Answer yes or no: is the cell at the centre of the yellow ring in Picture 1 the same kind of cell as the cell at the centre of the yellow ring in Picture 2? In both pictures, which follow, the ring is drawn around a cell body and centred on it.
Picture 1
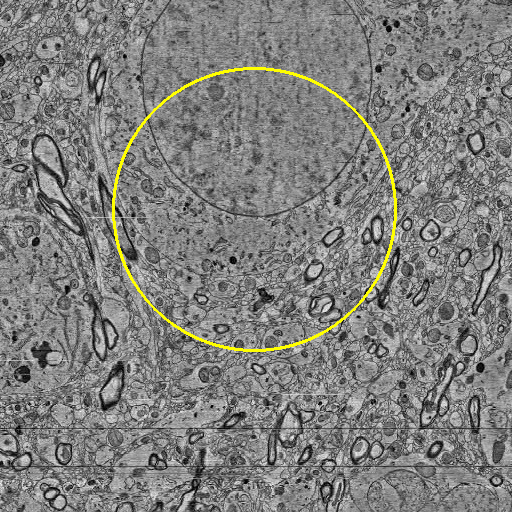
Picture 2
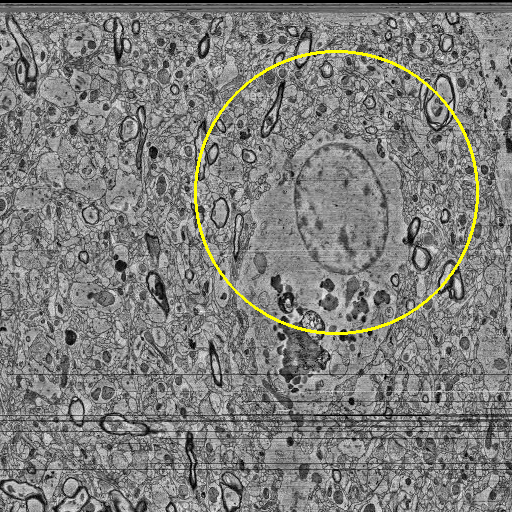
no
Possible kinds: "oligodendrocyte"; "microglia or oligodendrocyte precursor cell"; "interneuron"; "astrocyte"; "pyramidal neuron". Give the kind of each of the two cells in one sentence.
The cell in the second picture is an astrocyte, and that in the first is a pyramidal neuron.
